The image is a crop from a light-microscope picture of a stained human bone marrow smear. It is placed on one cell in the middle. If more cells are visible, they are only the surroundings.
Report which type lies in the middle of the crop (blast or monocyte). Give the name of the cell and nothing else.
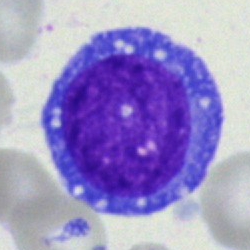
blast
